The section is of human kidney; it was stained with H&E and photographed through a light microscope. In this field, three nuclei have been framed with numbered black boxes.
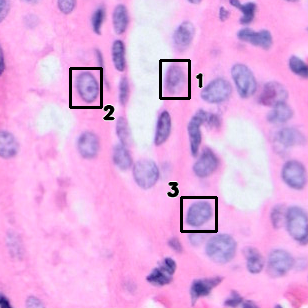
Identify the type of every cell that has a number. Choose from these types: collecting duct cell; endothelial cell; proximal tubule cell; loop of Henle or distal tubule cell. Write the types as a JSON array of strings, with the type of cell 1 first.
["loop of Henle or distal tubule cell", "proximal tubule cell", "collecting duct cell"]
